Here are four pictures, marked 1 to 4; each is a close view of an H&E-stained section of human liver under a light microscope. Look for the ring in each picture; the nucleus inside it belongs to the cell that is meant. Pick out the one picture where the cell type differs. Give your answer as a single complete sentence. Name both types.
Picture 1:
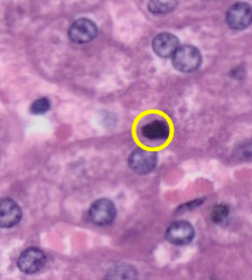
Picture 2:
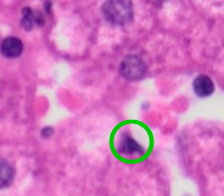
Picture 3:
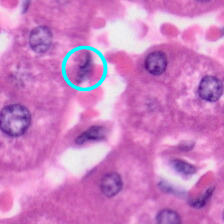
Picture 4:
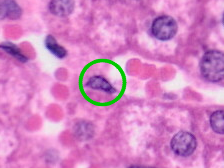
Picture 3 differs, because its cell is an endothelial cell and the rest are “fibroblasts or stellate cells”.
